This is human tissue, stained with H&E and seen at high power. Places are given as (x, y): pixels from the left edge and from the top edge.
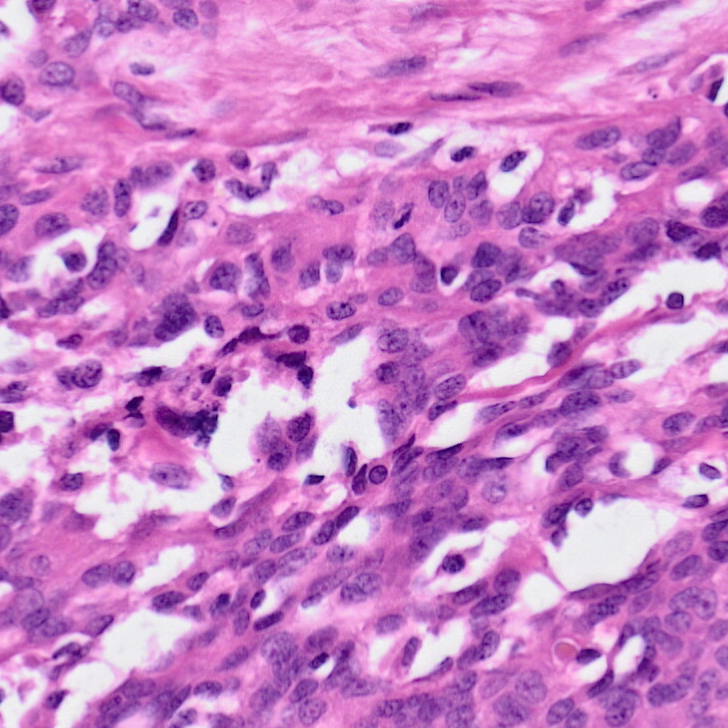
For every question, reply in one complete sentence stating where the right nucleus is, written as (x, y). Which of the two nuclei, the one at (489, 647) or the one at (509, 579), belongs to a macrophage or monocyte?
The nucleus situated at (489, 647) is the one belonging to a macrophage or monocyte.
